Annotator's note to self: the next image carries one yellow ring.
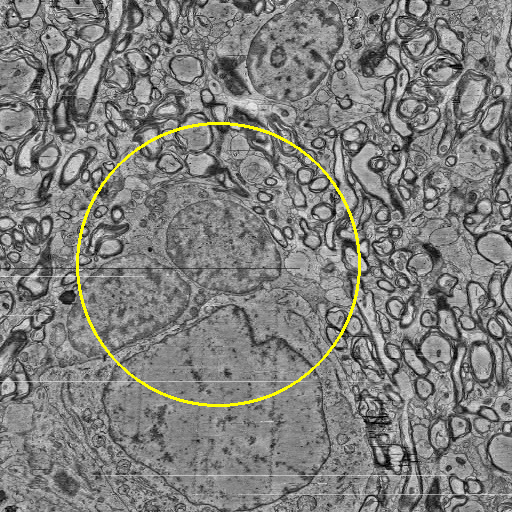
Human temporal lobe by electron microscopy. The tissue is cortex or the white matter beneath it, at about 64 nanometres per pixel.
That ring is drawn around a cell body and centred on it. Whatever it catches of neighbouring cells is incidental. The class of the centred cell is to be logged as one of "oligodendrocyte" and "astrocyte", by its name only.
oligodendrocyte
